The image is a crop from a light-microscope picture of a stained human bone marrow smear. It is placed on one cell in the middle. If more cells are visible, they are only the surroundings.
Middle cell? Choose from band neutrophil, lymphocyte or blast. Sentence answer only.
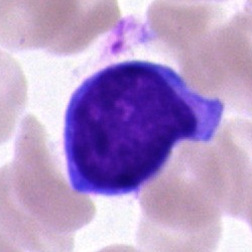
The identification for the central cell is a blast.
